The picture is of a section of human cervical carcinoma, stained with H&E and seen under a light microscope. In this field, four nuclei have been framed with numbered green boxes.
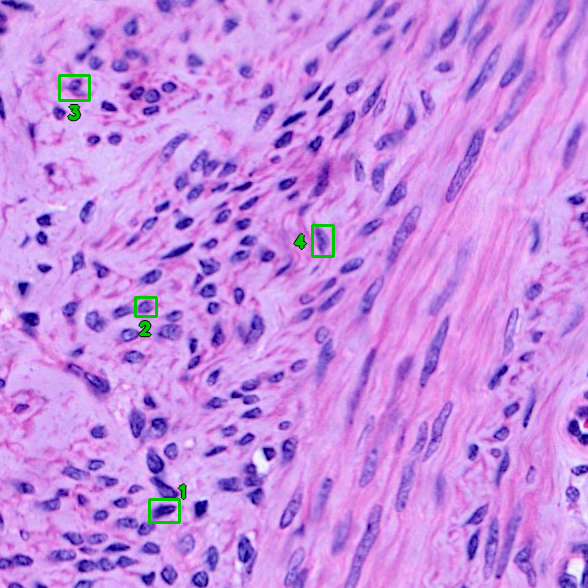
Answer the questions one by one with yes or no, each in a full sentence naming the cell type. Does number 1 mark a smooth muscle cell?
No, the cell that carries number 1 is a fibroblast, not a smooth muscle cell.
